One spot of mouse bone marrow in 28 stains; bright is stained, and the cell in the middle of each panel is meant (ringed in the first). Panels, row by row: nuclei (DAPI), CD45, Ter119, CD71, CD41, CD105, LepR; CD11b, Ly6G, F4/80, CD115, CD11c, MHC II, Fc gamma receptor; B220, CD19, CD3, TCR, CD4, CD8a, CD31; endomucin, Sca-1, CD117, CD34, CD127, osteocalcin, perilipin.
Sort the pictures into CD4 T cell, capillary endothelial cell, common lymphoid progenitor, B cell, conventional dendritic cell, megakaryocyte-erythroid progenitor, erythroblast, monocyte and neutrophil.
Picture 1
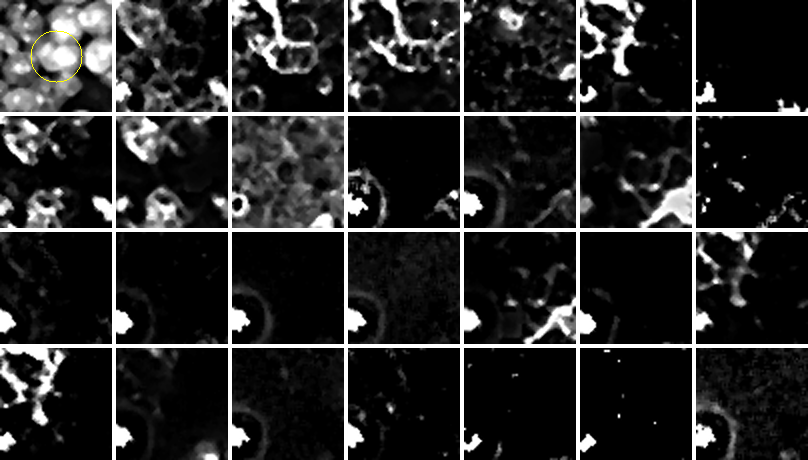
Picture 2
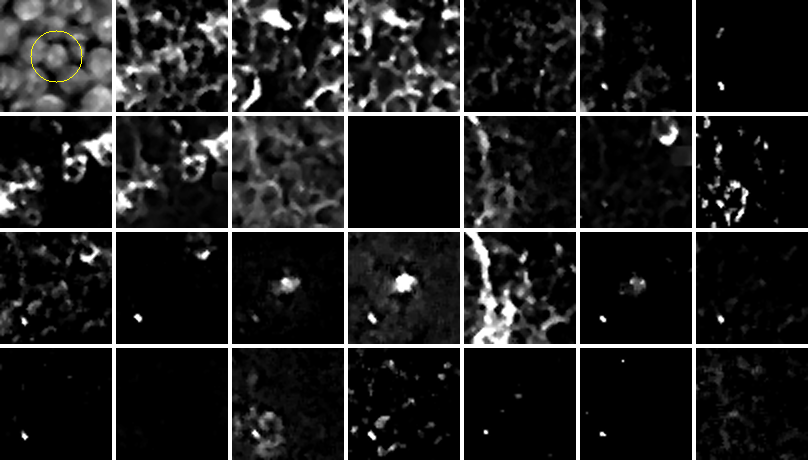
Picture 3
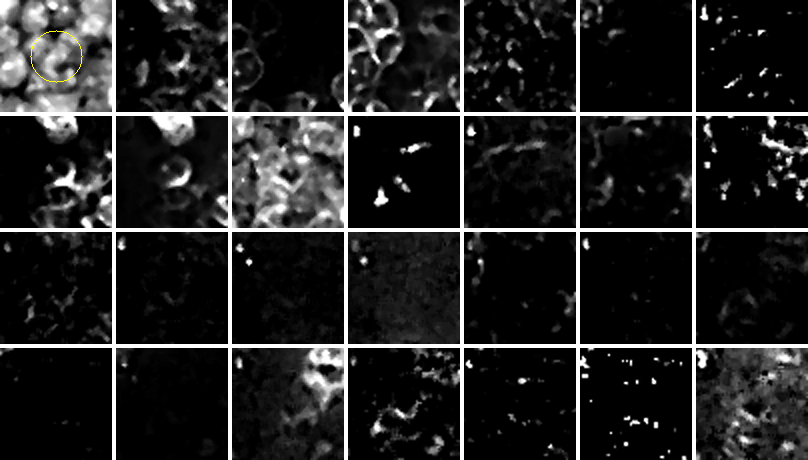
Capillary endothelial cells: 1
CD4 T cells: 2
Neutrophils: 3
